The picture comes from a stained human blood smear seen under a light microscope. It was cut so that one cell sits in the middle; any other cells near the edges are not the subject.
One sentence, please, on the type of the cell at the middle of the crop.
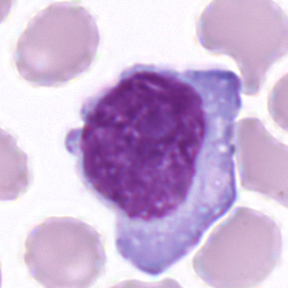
The cell positioned in the middle of the field is a plasma cell.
